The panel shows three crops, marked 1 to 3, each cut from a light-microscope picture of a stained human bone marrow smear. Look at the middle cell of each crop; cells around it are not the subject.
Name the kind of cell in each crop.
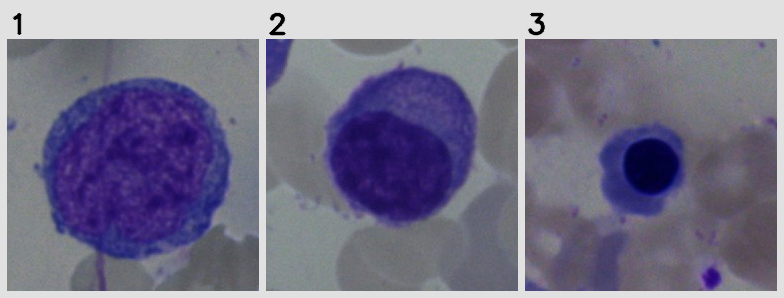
1: blast
2: plasma cell
3: erythroblast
